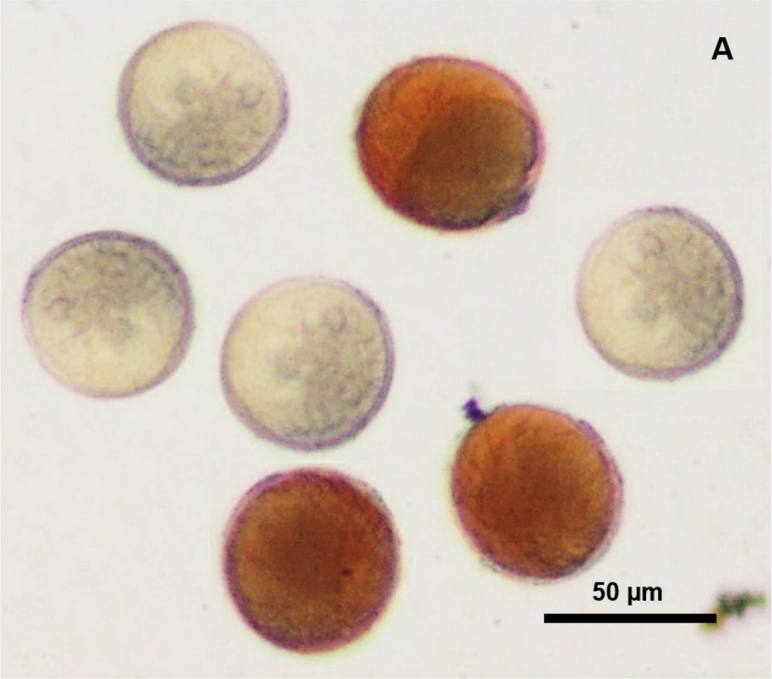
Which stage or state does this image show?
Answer: mixture of viable and non-viable pollen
